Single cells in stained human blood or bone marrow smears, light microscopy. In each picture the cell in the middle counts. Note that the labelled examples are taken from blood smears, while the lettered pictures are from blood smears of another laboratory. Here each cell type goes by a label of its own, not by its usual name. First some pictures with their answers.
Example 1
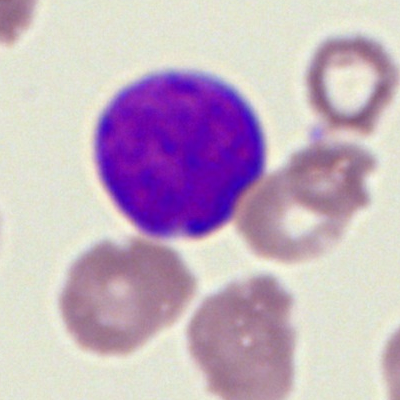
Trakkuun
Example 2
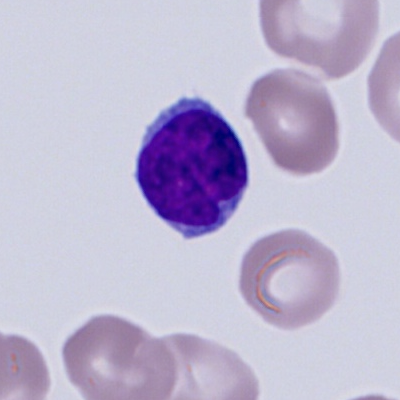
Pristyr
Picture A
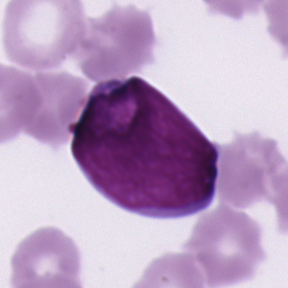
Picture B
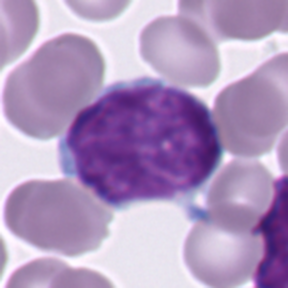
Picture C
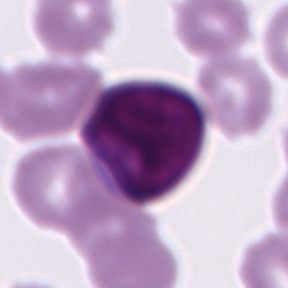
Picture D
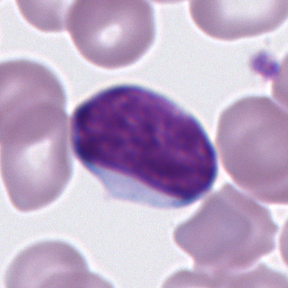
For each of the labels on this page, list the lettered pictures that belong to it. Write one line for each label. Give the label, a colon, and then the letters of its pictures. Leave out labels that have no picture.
Trakkuun: A, C, D
Pristyr: B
